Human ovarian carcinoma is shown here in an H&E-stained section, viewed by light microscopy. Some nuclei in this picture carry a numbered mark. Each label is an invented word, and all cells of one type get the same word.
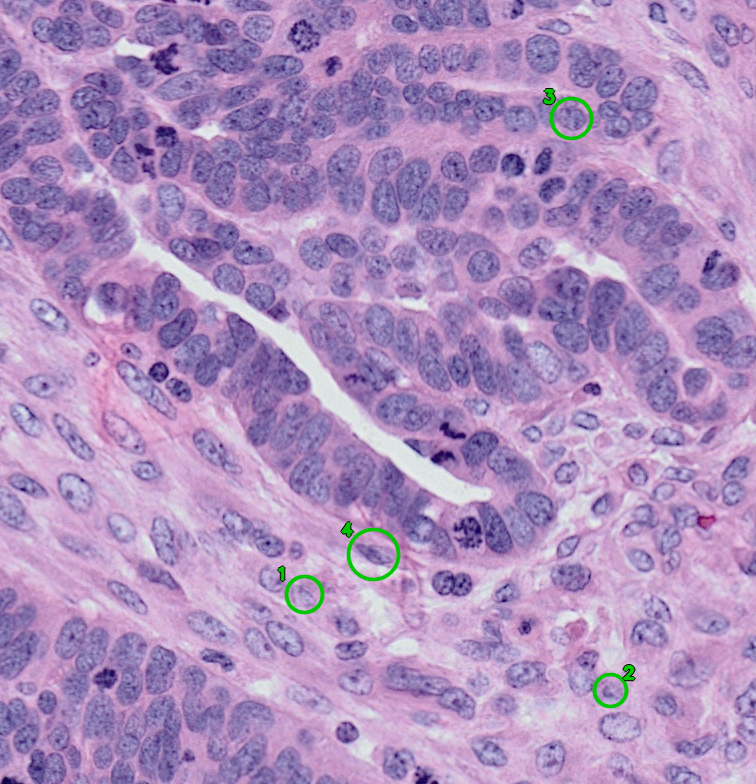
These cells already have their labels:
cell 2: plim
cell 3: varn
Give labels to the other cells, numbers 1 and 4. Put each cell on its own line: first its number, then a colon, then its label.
1: plim
4: plim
